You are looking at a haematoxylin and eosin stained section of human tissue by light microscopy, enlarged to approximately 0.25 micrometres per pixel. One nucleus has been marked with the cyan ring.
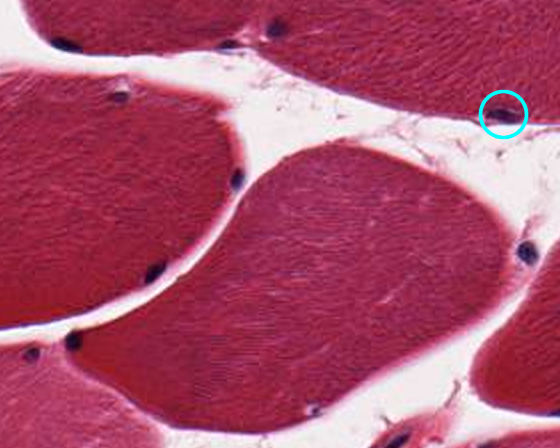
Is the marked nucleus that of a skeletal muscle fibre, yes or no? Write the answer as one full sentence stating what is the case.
Yes, the marked nucleus is present within a skeletal muscle fibre.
